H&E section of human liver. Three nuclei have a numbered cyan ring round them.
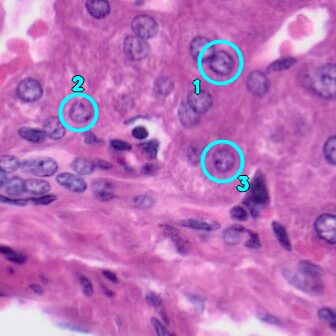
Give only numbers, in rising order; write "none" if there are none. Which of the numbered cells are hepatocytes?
1, 3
